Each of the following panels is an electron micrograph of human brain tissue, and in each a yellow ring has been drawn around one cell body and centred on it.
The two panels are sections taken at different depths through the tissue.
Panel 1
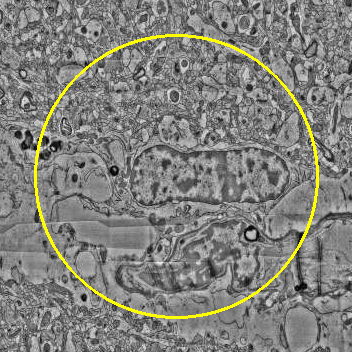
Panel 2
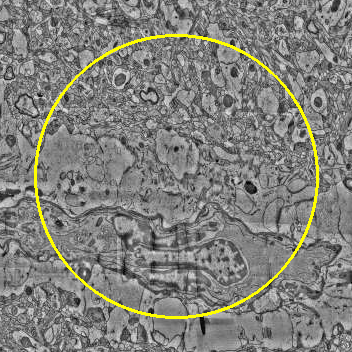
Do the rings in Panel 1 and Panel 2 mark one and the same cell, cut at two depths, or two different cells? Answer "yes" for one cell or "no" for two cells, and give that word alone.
yes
